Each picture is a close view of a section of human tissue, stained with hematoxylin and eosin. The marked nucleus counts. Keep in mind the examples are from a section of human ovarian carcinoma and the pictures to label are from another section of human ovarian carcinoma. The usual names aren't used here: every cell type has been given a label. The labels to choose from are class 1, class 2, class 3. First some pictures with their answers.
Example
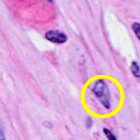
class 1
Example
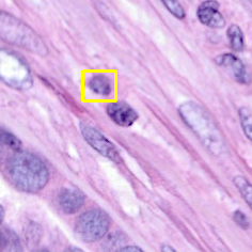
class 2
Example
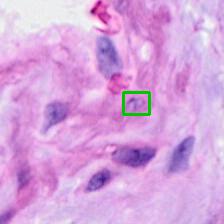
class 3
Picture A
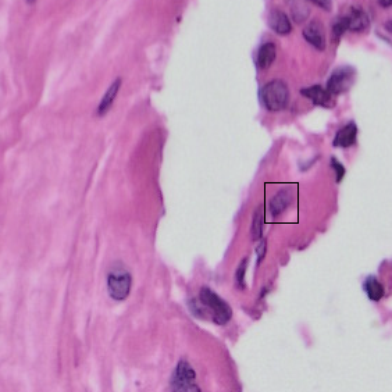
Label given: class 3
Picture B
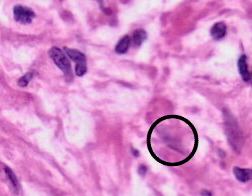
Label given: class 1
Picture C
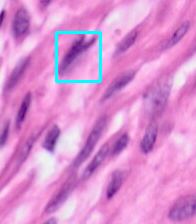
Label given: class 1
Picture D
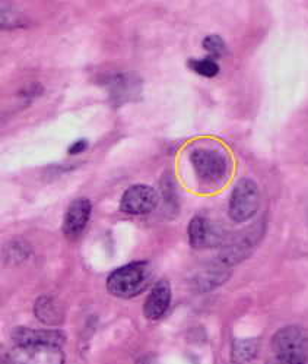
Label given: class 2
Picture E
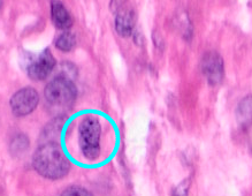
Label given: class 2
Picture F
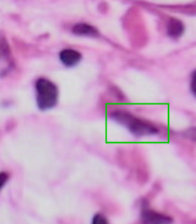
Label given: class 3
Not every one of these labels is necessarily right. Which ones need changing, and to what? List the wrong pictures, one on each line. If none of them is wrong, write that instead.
Wrong: F (class 3); correct: class 1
